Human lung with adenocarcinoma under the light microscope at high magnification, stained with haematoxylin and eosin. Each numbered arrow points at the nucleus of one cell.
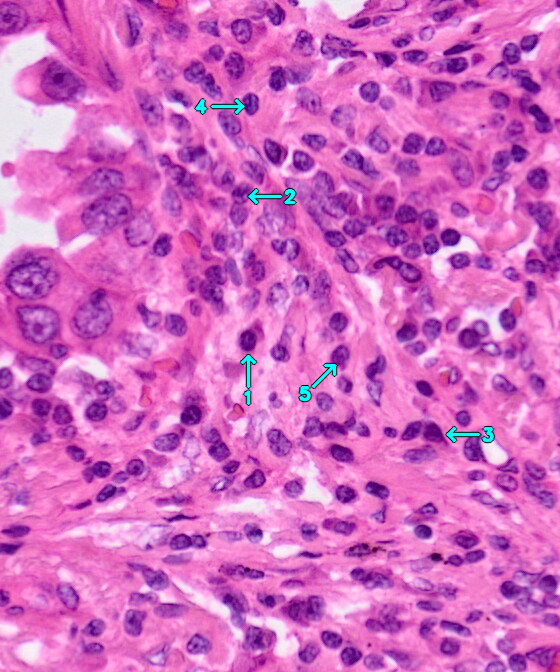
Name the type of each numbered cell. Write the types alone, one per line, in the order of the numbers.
plasma cell
lymphocyte
plasma cell
lymphocyte
plasma cell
